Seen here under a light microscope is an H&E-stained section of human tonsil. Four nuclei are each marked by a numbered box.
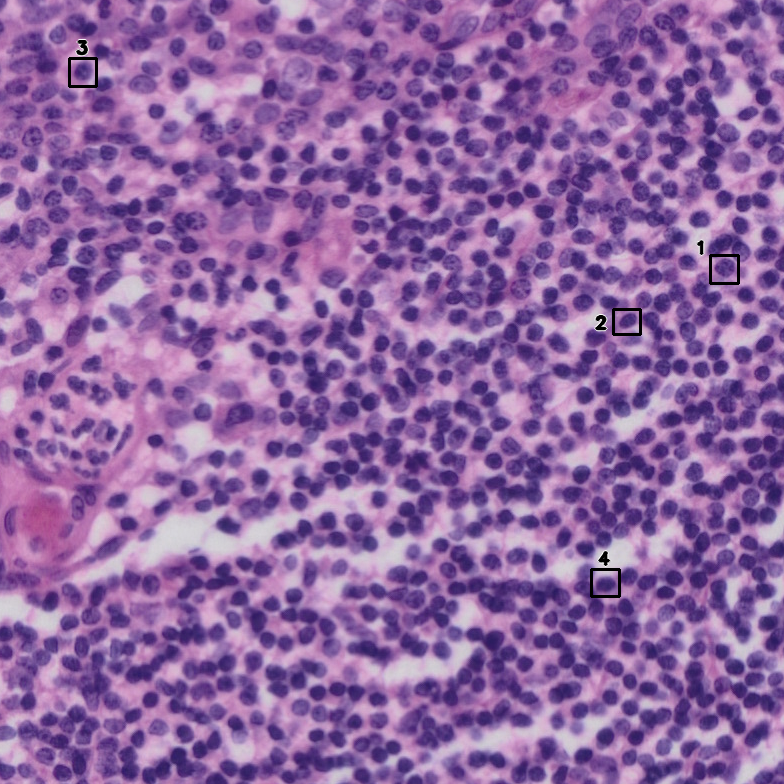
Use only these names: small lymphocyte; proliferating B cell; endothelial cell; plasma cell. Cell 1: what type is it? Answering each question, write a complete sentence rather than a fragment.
The correct label for cell 1 is a small lymphocyte.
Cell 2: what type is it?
To a small lymphocyte belongs the nucleus marked 2.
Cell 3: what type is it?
Number 3 among the marked cells is a plasma cell.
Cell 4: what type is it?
The cell whose nucleus carries the number 4 is a small lymphocyte.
